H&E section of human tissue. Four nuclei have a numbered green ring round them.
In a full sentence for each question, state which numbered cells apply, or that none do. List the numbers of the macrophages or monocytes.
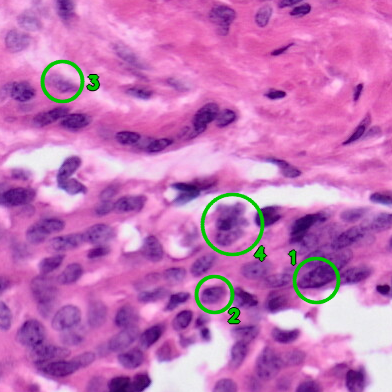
There is only one numbered cell that is a macrophage or monocyte, and it is cell 2.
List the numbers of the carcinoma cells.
By cell type, the cells numbered 1 and 4 are carcinoma cells.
